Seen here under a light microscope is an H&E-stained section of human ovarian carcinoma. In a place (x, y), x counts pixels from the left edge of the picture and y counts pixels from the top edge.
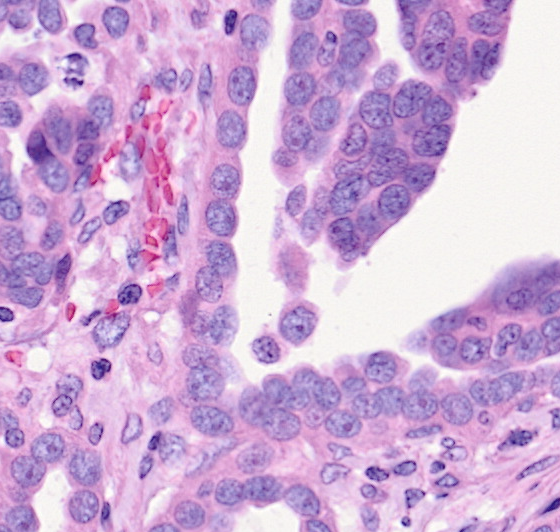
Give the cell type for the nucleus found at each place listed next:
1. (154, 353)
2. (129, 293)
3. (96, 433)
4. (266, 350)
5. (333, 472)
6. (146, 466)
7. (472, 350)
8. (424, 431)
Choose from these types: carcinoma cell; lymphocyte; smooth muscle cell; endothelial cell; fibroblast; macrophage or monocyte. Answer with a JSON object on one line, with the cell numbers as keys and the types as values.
{"1": "fibroblast", "2": "lymphocyte", "3": "macrophage or monocyte", "4": "macrophage or monocyte", "5": "fibroblast", "6": "fibroblast", "7": "carcinoma cell", "8": "fibroblast"}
